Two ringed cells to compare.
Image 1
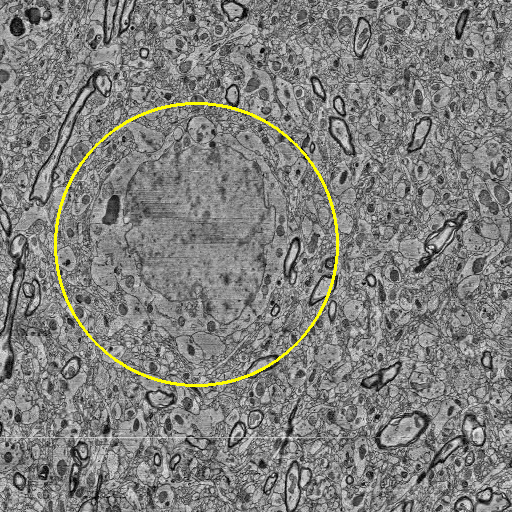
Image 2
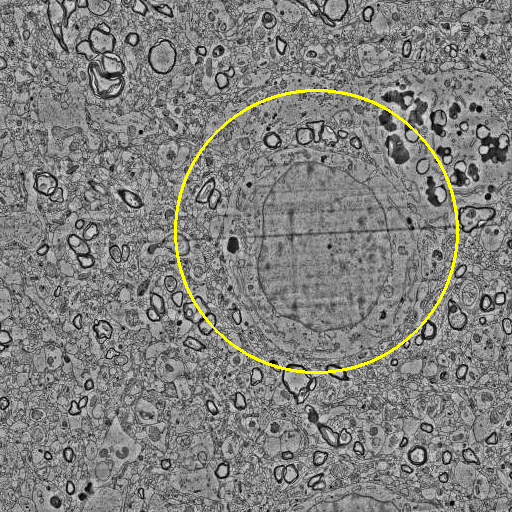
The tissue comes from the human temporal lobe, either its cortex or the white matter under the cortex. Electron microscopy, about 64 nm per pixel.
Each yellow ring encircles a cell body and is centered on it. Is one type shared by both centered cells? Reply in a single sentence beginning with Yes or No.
Yes, a single type is shared by the two cells at the centers of the rings.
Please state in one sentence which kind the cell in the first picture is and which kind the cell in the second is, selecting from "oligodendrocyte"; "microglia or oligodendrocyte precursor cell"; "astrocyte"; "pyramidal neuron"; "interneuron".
Both pictures show an interneuron at the centre of the ring.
